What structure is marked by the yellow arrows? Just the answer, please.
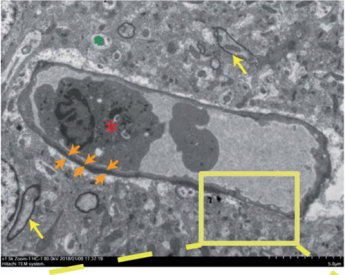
myelin sheath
